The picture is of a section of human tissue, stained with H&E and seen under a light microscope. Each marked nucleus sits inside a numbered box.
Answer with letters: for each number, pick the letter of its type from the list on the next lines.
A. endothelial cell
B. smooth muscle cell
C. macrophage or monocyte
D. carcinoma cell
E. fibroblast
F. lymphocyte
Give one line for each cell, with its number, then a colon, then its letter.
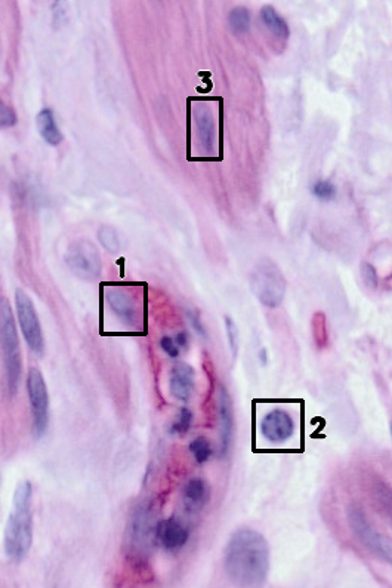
1: A
2: F
3: B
